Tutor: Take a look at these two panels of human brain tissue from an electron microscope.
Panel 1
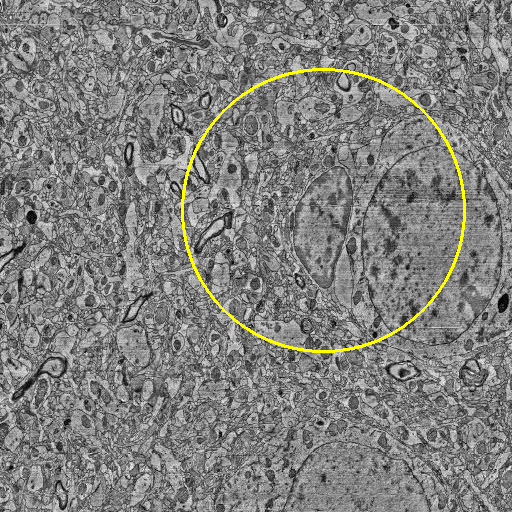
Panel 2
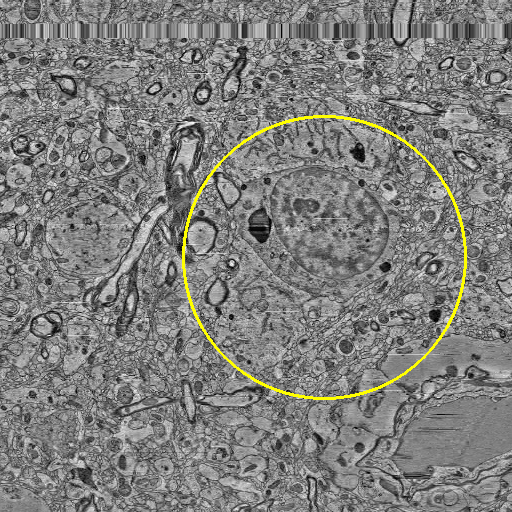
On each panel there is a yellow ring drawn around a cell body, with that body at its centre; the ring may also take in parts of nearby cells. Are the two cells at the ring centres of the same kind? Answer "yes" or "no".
no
